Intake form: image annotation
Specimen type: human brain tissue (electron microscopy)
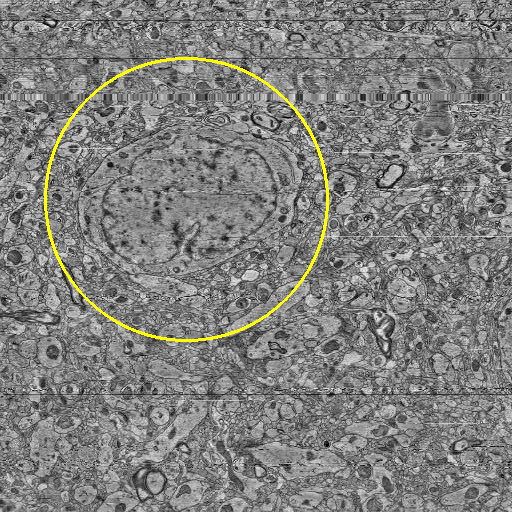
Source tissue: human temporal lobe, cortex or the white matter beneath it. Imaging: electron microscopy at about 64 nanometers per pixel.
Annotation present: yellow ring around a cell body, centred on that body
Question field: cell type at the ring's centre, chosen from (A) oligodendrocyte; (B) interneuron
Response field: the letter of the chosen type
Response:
B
